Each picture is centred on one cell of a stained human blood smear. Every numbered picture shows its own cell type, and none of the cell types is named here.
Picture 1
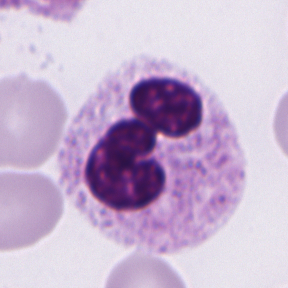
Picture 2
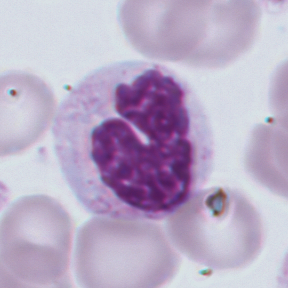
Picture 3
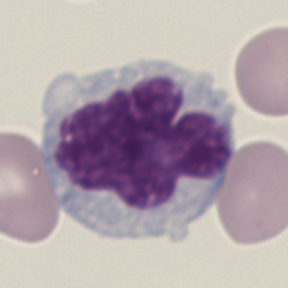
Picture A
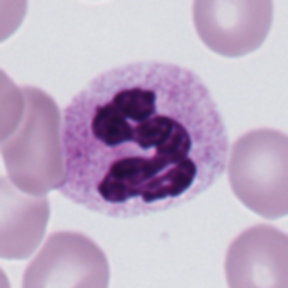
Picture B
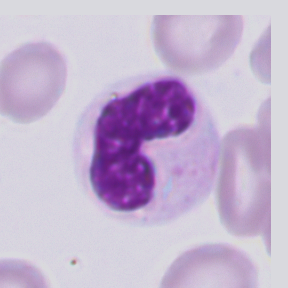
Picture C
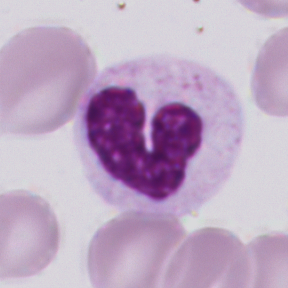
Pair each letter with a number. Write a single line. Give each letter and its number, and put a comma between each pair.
A 1, B 2, C 2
